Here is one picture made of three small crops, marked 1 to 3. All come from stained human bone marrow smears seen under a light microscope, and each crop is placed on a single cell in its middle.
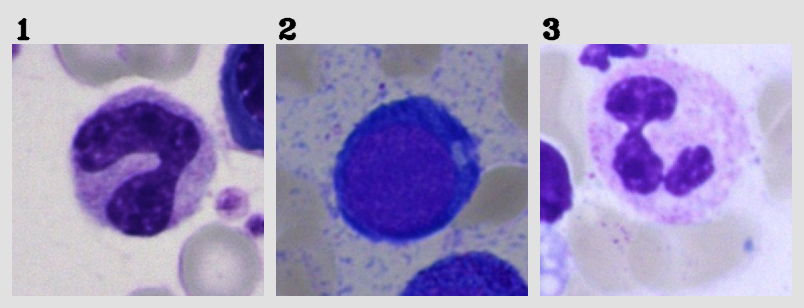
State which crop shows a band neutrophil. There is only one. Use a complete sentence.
Of the crops given, a band neutrophil is found in crop 1.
